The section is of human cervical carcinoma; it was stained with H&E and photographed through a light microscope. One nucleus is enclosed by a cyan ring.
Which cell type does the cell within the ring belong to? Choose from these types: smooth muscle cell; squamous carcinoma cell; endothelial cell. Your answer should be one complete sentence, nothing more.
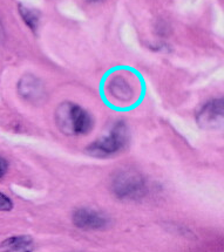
So far as cell type goes, the cell within the ring is a squamous carcinoma cell.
